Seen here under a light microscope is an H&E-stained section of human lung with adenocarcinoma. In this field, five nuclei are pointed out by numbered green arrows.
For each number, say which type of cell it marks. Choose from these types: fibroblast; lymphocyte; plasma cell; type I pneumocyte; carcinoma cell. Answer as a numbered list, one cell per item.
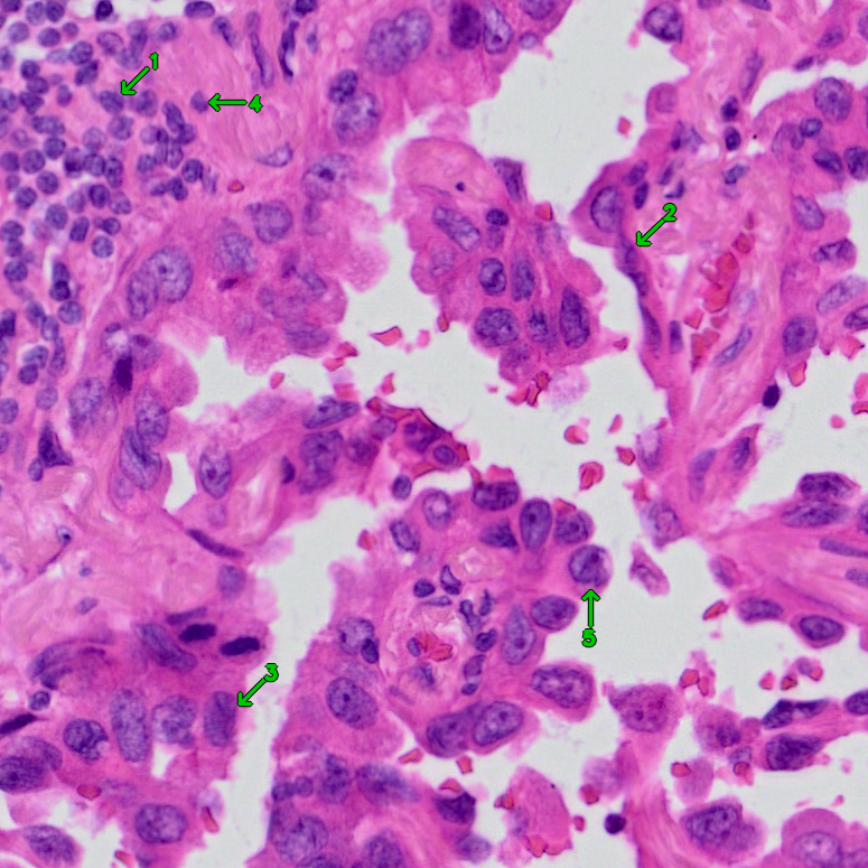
1. lymphocyte
2. carcinoma cell
3. carcinoma cell
4. lymphocyte
5. carcinoma cell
